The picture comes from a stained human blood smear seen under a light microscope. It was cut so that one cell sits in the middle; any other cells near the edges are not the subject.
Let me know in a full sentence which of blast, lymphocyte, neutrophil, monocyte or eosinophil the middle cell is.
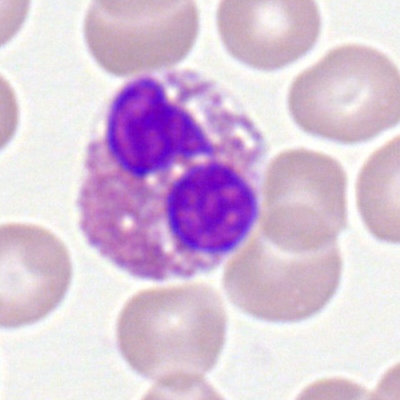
In this smear crop, the middle cell is an eosinophil.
